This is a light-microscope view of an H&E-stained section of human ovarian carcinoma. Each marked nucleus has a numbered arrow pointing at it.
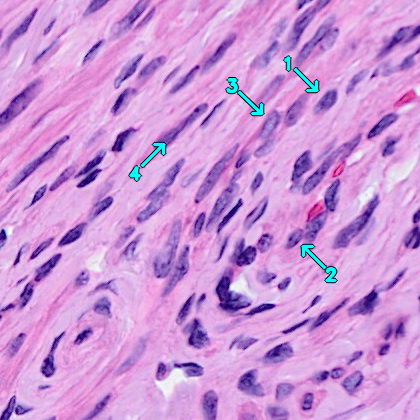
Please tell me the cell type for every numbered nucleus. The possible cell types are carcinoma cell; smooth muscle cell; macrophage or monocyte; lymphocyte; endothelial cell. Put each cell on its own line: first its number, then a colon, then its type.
1: smooth muscle cell
2: endothelial cell
3: smooth muscle cell
4: smooth muscle cell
